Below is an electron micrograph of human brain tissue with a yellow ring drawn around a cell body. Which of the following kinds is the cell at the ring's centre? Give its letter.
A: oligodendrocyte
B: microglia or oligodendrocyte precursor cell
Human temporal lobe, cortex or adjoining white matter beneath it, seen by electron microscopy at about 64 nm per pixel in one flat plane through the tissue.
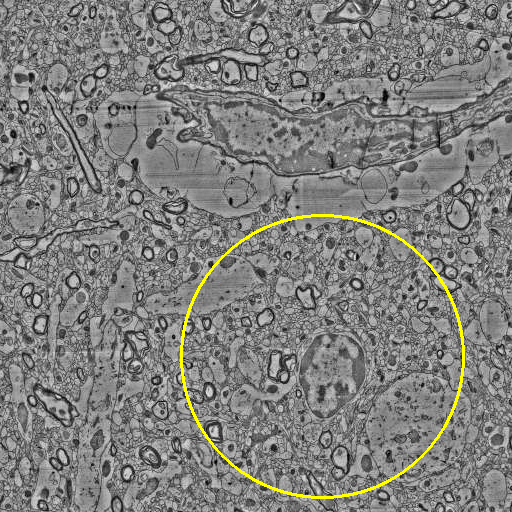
B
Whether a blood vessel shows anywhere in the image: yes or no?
Yes, one is visible.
